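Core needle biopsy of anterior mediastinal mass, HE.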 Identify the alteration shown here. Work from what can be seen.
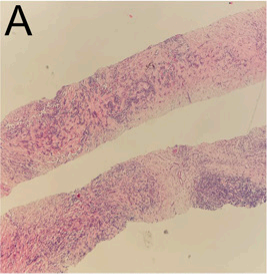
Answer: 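Two long core strips of tissue. Much of the tissue is pale pink fibrous stroma. Darker purple patches of small densely packed nuclei lie within the pink stroma. The answer: sclerotic areas.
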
